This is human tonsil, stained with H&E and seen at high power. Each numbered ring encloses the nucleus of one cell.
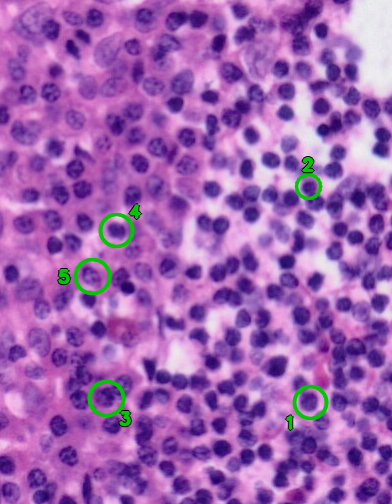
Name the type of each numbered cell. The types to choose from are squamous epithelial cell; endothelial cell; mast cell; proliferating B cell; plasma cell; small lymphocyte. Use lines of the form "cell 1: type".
cell 1: small lymphocyte
cell 2: small lymphocyte
cell 3: plasma cell
cell 4: plasma cell
cell 5: plasma cell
